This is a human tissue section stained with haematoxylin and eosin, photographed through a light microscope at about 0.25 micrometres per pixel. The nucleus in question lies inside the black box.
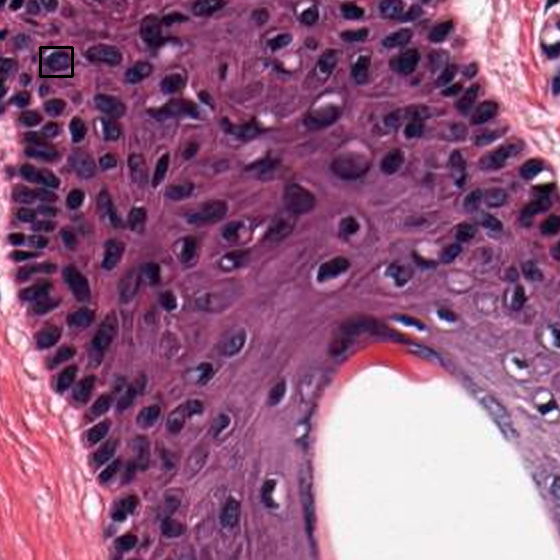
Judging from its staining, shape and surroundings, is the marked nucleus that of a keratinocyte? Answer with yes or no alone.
yes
